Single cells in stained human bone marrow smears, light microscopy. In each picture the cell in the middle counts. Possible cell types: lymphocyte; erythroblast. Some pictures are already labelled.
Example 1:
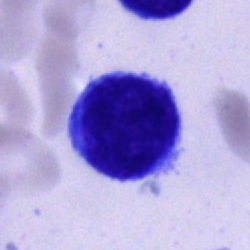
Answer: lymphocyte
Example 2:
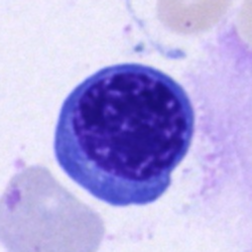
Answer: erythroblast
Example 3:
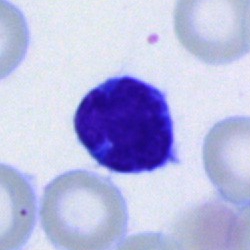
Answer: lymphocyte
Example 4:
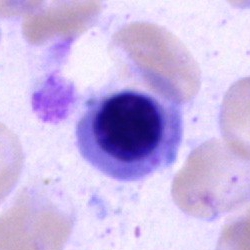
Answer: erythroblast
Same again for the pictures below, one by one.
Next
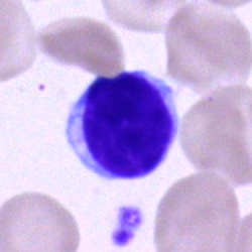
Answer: lymphocyte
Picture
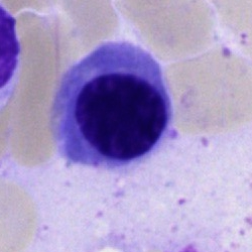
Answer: erythroblast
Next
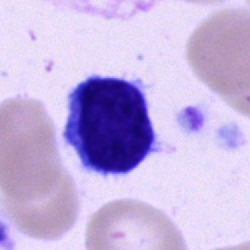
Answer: lymphocyte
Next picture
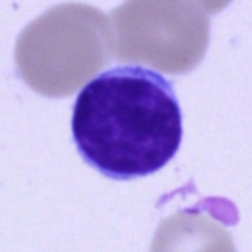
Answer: lymphocyte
